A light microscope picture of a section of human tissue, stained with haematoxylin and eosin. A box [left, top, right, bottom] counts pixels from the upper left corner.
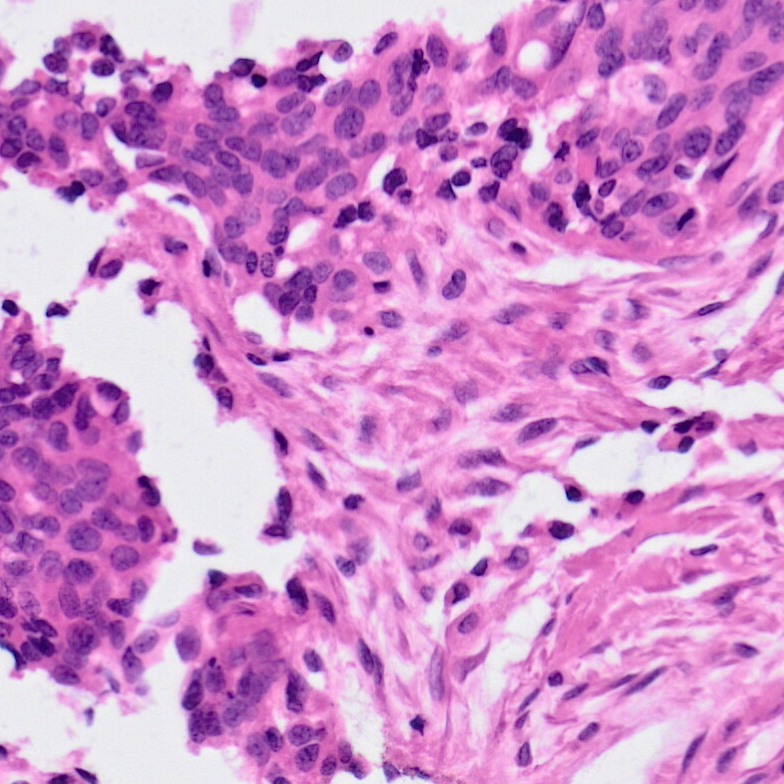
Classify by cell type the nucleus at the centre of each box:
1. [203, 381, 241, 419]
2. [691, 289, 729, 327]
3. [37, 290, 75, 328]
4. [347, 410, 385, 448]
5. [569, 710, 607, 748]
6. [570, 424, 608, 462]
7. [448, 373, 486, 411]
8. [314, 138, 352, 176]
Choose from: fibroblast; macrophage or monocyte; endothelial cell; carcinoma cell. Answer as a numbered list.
1. carcinoma cell
2. fibroblast
3. carcinoma cell
4. fibroblast
5. fibroblast
6. fibroblast
7. fibroblast
8. carcinoma cell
